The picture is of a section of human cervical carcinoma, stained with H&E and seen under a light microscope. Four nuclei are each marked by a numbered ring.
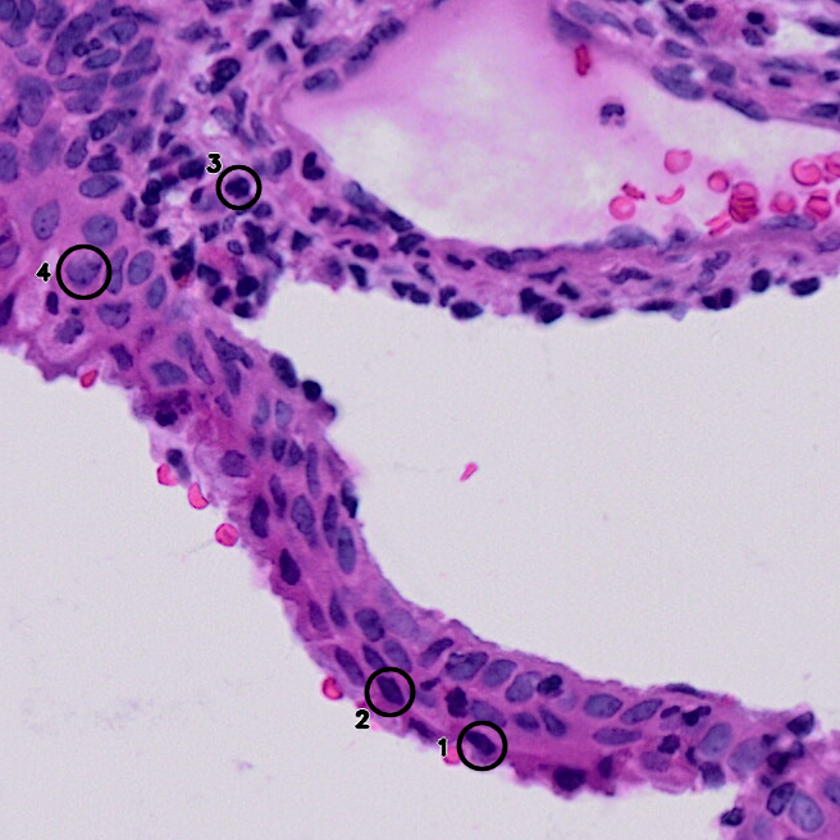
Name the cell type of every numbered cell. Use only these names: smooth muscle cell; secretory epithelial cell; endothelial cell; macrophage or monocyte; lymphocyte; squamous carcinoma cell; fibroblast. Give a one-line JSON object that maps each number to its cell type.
{"1": "secretory epithelial cell", "2": "secretory epithelial cell", "3": "lymphocyte", "4": "secretory epithelial cell"}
